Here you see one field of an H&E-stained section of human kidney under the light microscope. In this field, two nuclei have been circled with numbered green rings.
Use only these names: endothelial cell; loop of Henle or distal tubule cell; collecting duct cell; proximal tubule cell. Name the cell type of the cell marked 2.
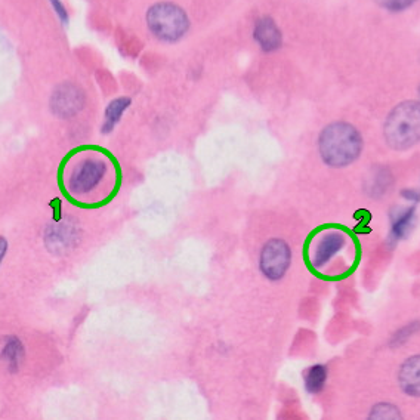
endothelial cell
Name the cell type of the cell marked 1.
proximal tubule cell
